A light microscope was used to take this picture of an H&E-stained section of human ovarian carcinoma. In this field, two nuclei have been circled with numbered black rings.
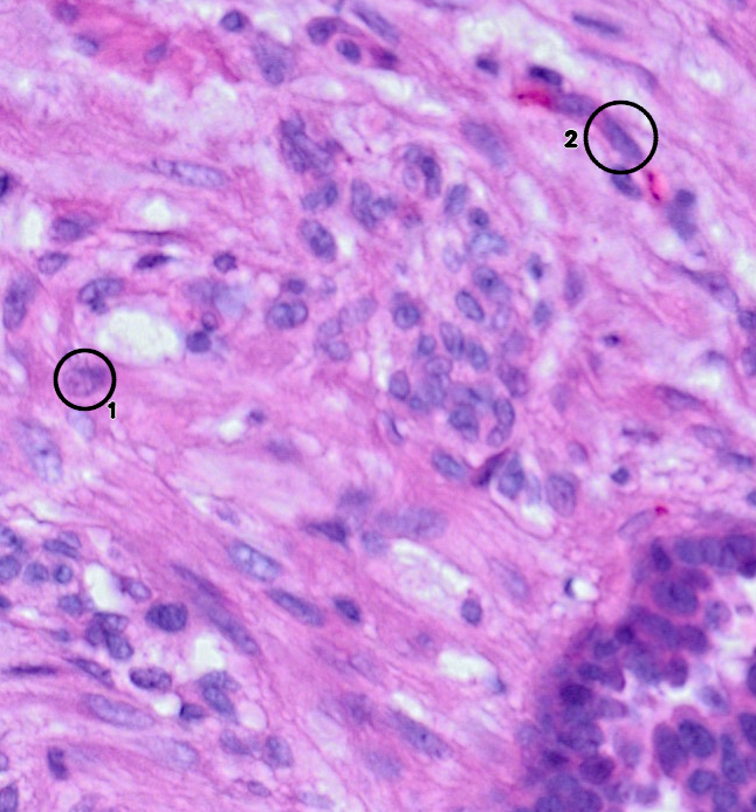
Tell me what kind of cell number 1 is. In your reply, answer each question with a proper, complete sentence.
The numbered cell 1 in this field is a fibroblast.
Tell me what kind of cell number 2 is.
The numeral 2 marks an endothelial cell in this section.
